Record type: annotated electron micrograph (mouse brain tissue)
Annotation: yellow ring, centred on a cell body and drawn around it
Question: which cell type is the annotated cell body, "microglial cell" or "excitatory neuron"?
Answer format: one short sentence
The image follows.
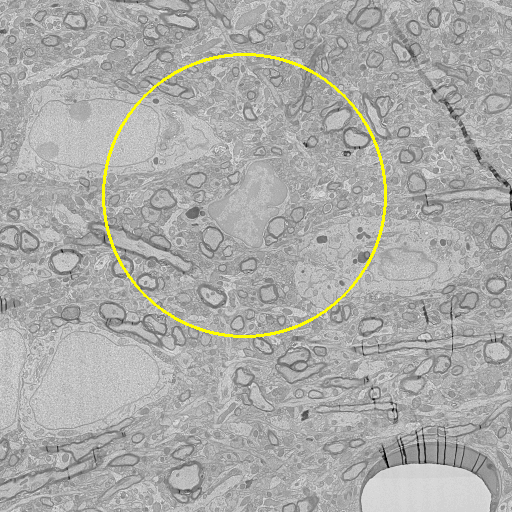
The annotated cell body is that of a microglial cell.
